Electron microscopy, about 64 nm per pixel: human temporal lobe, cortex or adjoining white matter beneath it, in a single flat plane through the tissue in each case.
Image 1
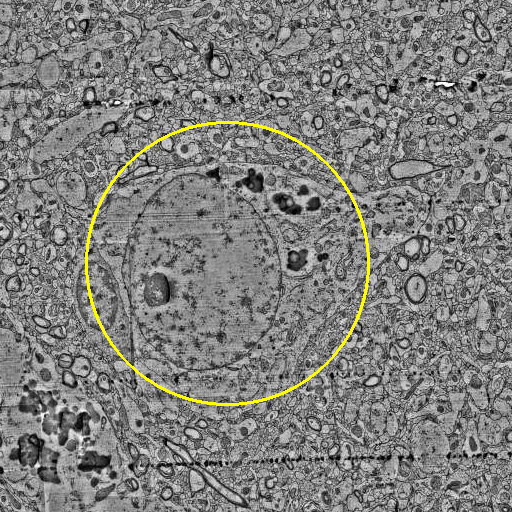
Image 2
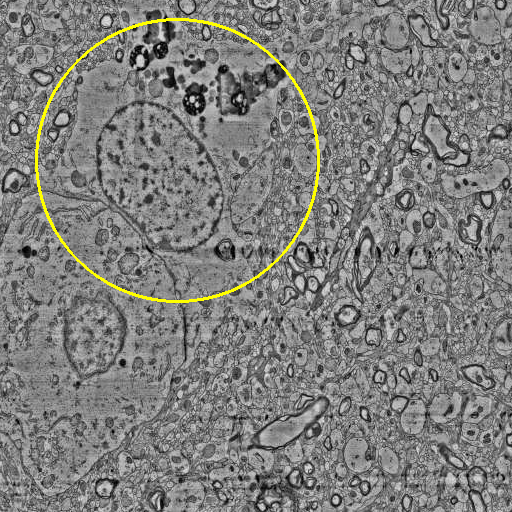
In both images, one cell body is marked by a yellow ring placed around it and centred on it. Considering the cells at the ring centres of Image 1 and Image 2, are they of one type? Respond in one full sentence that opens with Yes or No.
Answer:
No, two types apply to the ring-centred cells of Image 1 and Image 2.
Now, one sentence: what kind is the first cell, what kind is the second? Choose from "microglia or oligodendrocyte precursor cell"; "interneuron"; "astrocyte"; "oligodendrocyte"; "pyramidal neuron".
The first picture has a pyramidal neuron at its ring centre, and the second has an astrocyte.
